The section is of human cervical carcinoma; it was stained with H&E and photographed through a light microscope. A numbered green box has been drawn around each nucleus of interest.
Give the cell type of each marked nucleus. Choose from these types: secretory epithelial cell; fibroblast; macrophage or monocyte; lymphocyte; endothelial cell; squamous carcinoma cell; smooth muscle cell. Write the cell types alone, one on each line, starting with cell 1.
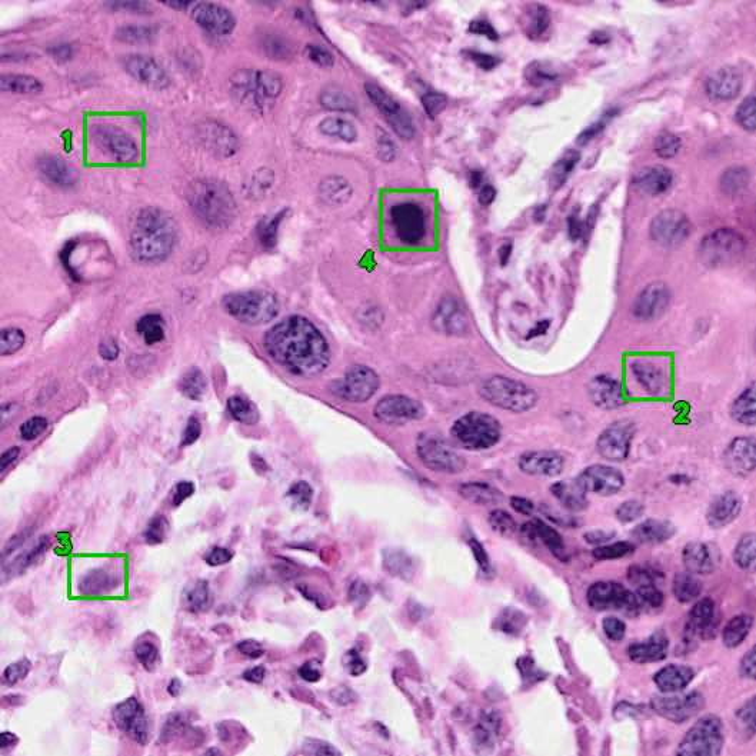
squamous carcinoma cell
squamous carcinoma cell
fibroblast
squamous carcinoma cell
